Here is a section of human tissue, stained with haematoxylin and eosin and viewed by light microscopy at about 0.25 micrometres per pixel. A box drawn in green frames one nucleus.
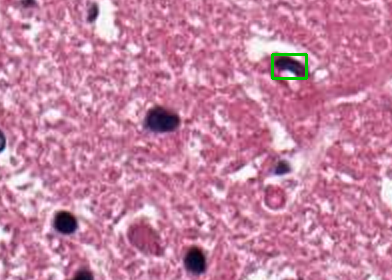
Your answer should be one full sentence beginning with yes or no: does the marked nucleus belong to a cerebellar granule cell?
No, the marked nucleus is located in a supporting cell and not in a cerebellar granule cell.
